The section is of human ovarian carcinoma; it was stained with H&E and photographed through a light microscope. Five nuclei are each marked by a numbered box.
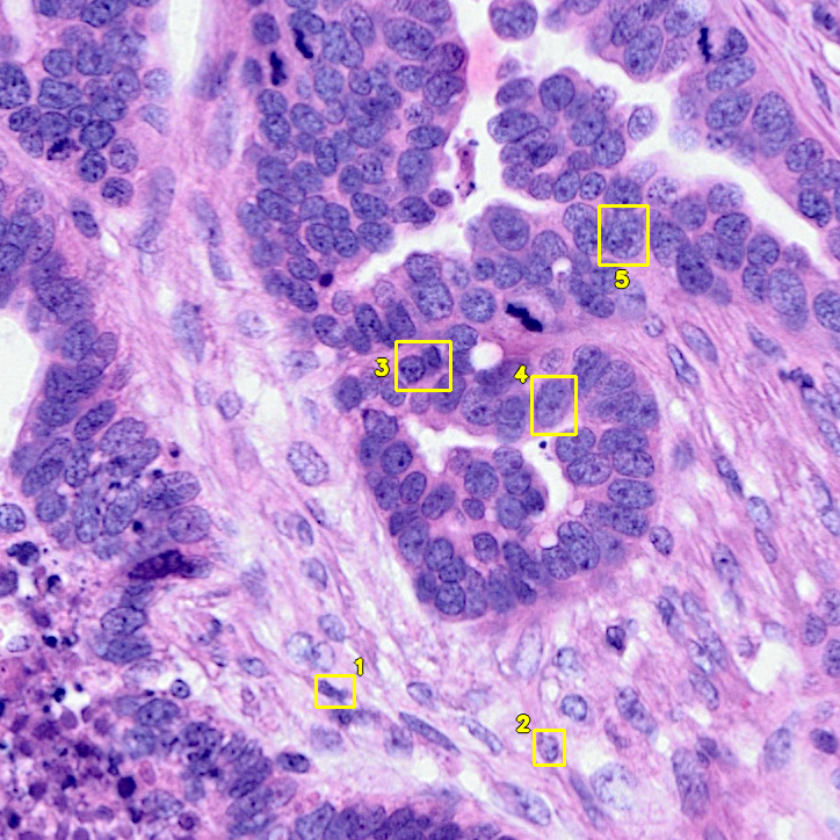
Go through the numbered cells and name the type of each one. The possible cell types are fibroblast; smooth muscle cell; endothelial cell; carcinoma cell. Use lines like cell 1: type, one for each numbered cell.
cell 1: fibroblast
cell 2: fibroblast
cell 3: carcinoma cell
cell 4: carcinoma cell
cell 5: carcinoma cell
